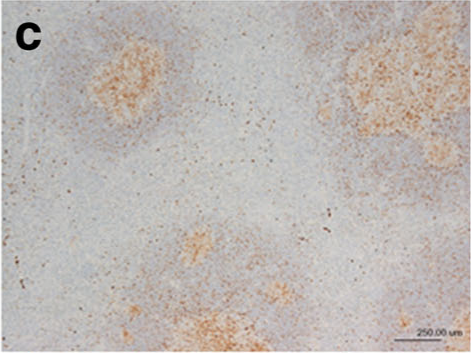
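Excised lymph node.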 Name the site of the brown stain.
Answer: Germinal centres.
